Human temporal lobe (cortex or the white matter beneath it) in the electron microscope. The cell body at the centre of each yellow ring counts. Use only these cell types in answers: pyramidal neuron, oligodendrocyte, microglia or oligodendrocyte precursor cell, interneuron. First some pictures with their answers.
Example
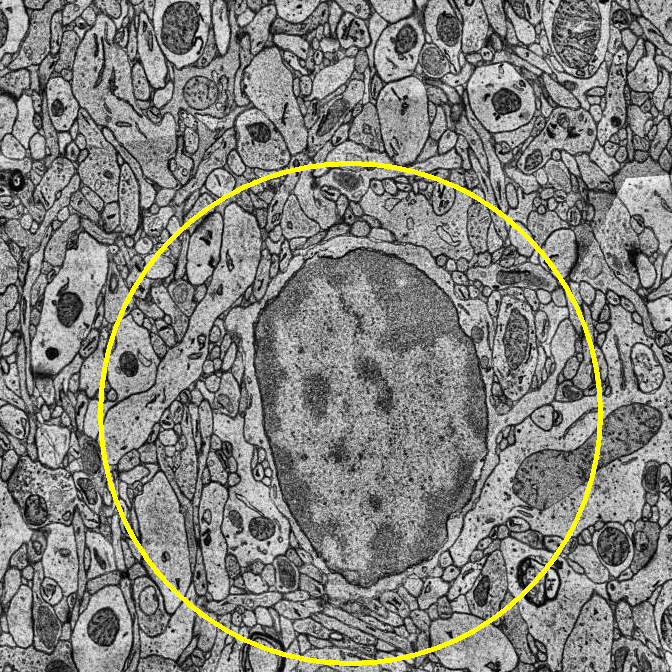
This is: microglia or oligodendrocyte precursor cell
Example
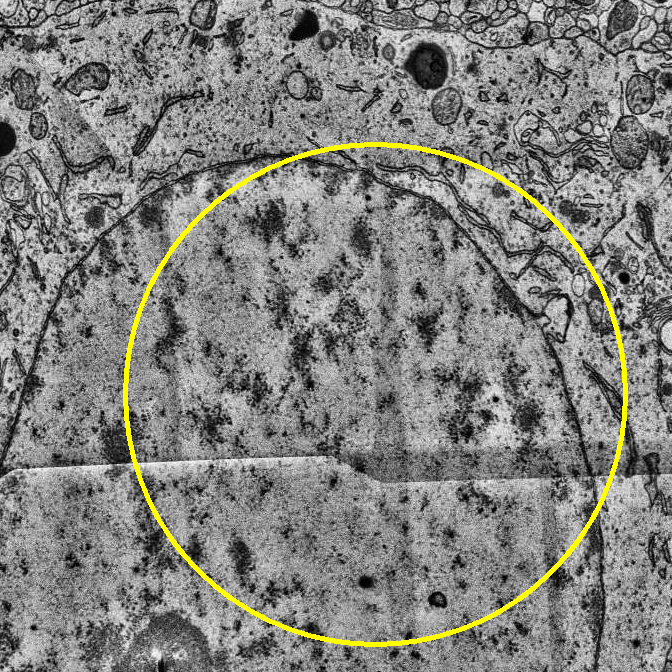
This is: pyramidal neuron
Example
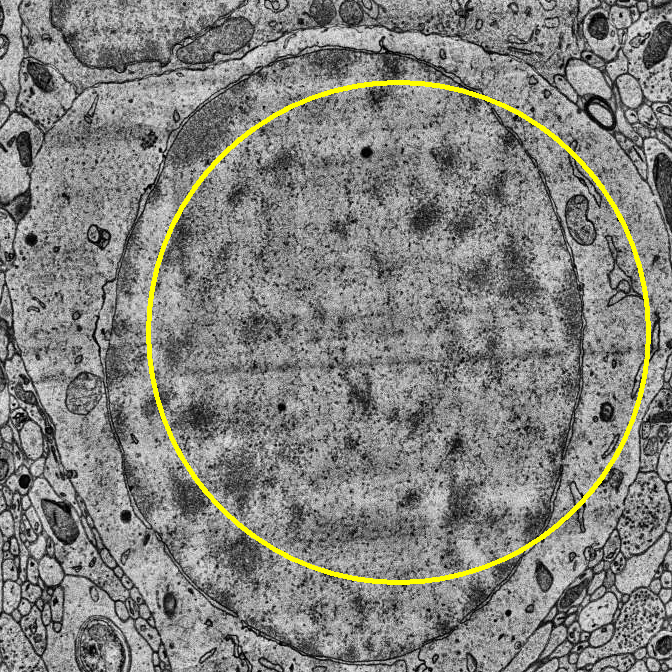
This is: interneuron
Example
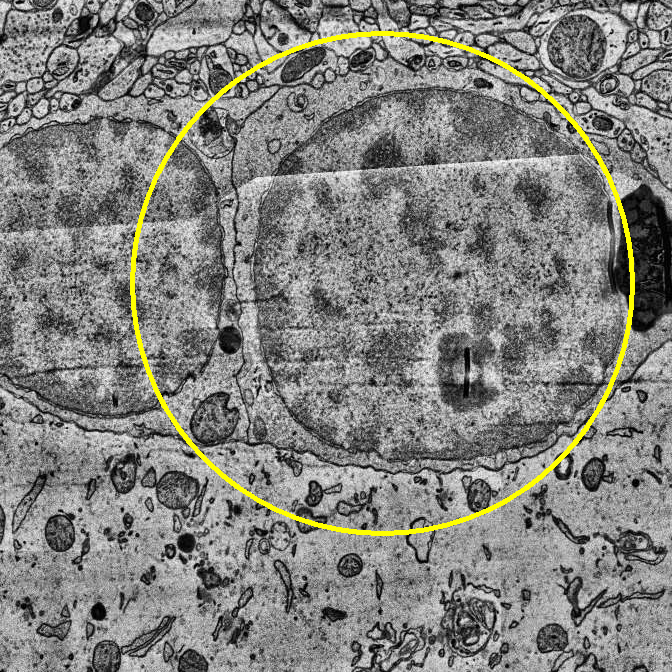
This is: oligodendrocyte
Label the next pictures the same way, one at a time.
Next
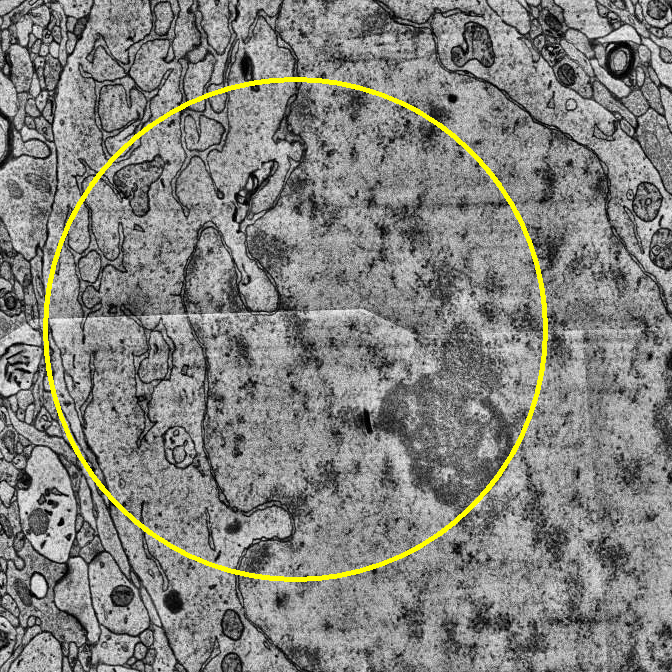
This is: interneuron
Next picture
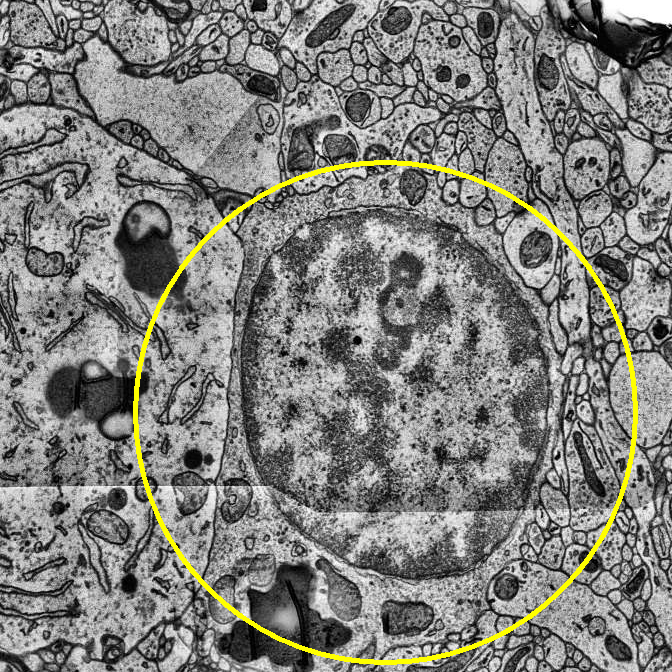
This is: oligodendrocyte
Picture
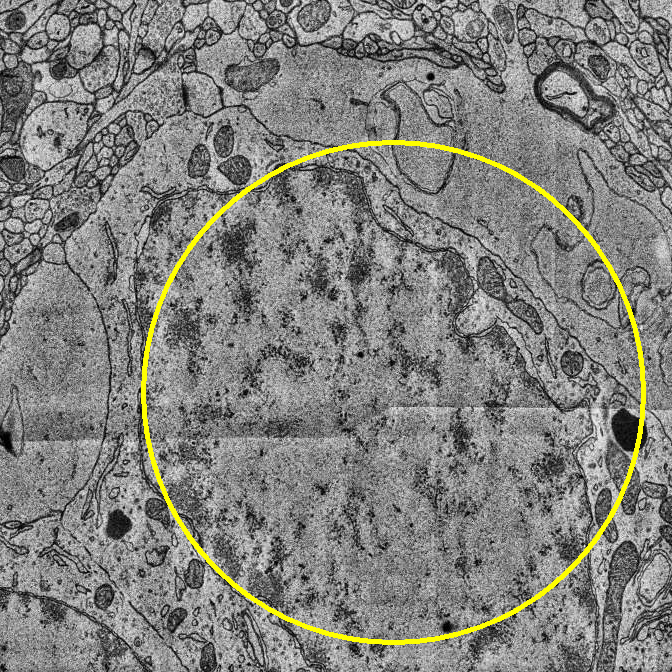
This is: interneuron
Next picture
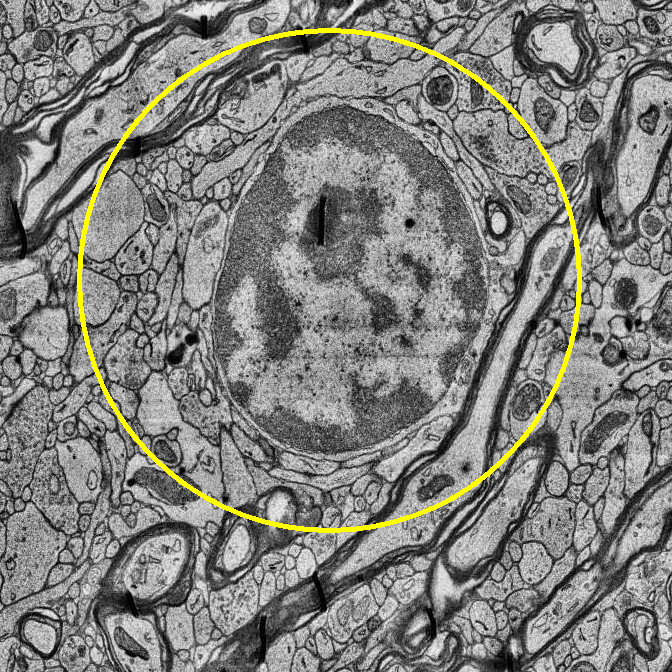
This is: microglia or oligodendrocyte precursor cell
